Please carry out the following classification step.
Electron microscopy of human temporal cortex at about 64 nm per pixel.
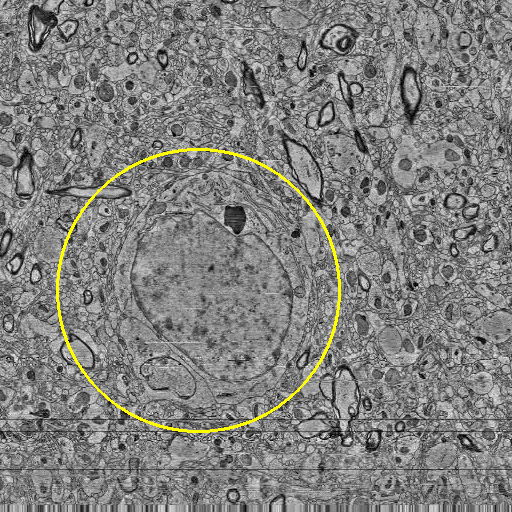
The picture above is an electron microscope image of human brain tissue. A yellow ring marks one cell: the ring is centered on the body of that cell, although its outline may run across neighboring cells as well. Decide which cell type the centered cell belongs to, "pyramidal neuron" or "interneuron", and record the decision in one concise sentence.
The cell centered in the yellow ring is an interneuron.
